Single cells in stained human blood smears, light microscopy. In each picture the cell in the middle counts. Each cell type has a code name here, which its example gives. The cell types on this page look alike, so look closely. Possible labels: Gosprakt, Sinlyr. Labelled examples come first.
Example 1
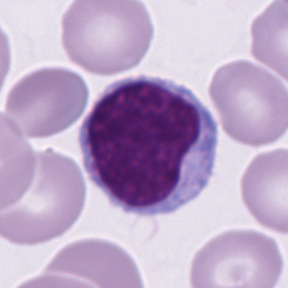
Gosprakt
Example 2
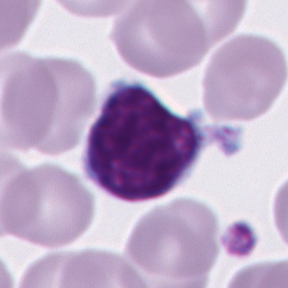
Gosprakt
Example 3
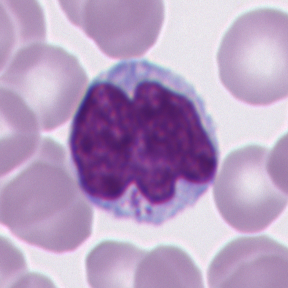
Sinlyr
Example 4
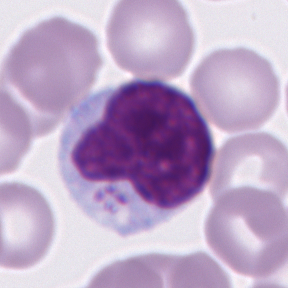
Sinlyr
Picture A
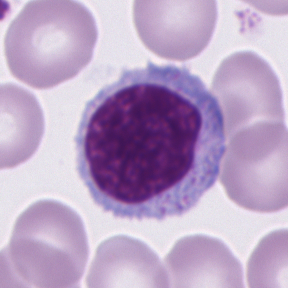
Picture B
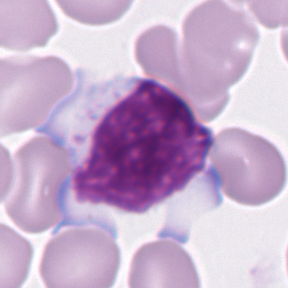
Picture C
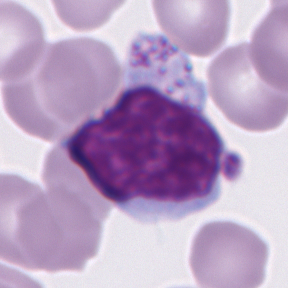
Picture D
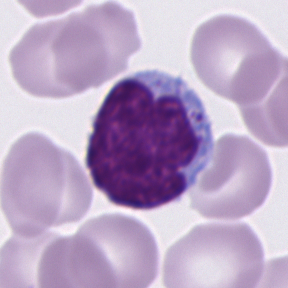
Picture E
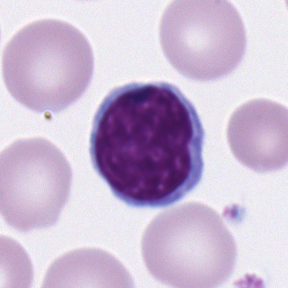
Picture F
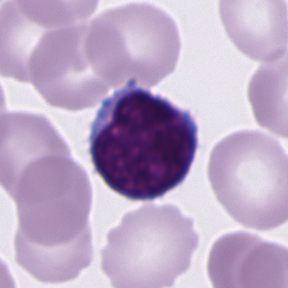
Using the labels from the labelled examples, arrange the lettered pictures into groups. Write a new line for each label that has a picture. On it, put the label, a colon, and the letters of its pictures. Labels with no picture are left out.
Gosprakt: D, E, F
Sinlyr: A, B, C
